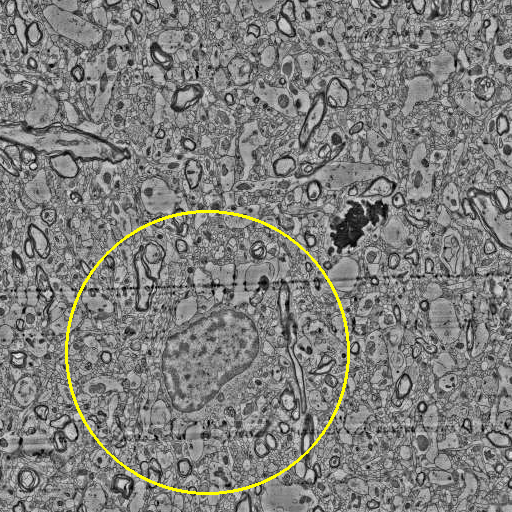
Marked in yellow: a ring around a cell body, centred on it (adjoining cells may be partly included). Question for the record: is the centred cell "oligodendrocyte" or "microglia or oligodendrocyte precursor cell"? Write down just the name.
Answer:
oligodendrocyte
